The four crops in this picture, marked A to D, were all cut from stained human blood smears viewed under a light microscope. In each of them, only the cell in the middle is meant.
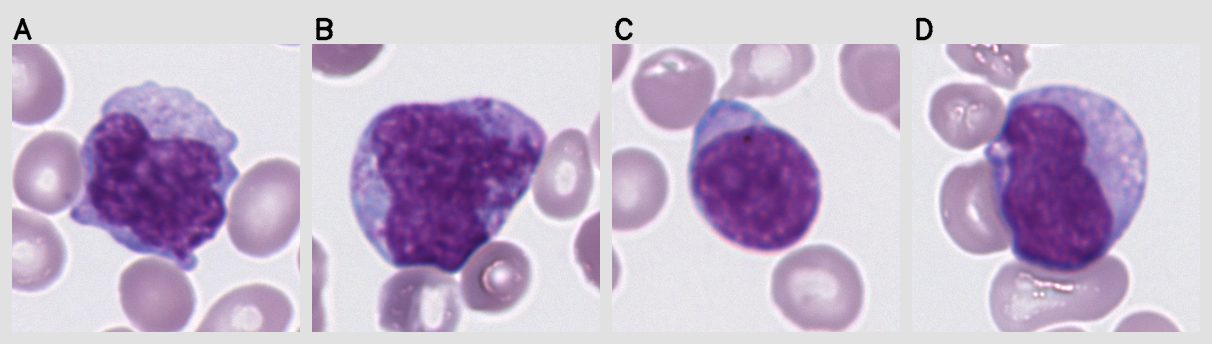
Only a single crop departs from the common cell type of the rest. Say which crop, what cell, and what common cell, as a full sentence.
Crop C does not fit, being a myeloblast where all the others show atypical promyelocytes.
